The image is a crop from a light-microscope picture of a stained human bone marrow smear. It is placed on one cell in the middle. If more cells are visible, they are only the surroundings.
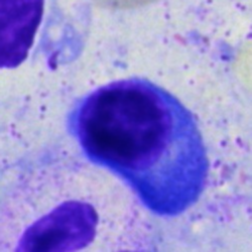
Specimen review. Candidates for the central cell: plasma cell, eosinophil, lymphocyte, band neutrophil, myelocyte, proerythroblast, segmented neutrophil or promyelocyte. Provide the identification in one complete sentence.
The cell in the middle of the field of view is a plasma cell.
